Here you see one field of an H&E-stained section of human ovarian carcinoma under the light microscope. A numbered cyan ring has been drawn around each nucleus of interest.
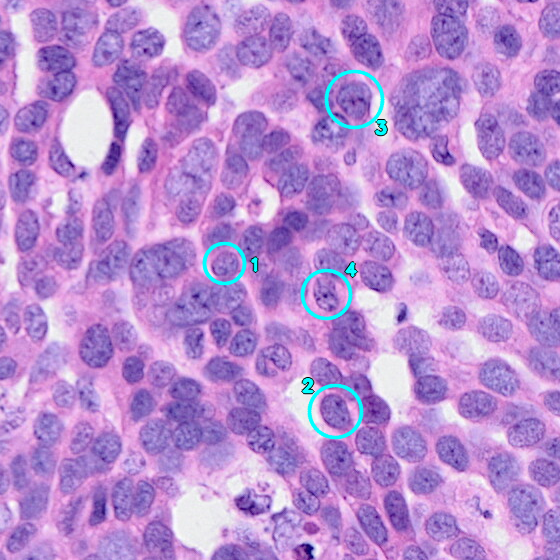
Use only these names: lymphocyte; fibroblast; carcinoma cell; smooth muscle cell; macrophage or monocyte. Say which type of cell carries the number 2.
carcinoma cell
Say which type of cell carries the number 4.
macrophage or monocyte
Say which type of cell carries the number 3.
carcinoma cell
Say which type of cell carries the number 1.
carcinoma cell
